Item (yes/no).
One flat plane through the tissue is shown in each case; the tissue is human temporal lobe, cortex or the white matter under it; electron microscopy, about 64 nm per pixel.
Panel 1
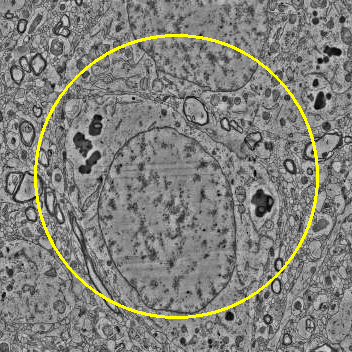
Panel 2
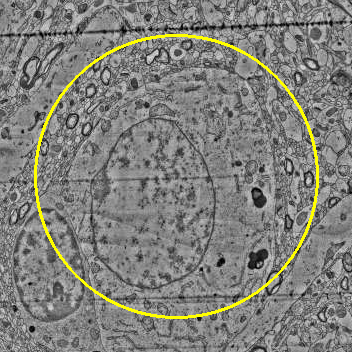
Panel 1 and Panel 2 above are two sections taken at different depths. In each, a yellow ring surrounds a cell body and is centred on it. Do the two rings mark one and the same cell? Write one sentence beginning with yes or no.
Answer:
No, the two circled cells are distinct from one another.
